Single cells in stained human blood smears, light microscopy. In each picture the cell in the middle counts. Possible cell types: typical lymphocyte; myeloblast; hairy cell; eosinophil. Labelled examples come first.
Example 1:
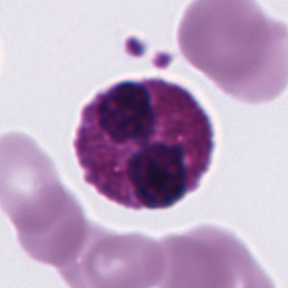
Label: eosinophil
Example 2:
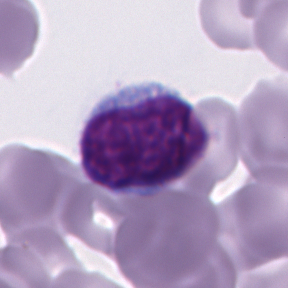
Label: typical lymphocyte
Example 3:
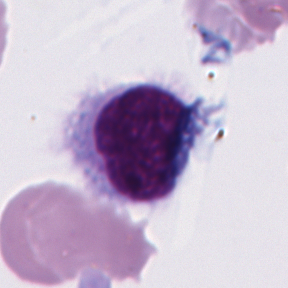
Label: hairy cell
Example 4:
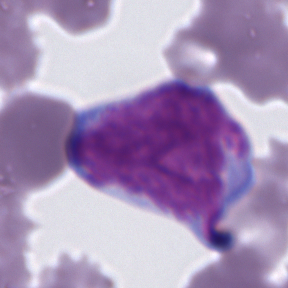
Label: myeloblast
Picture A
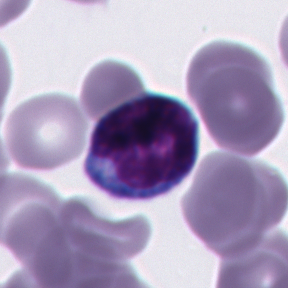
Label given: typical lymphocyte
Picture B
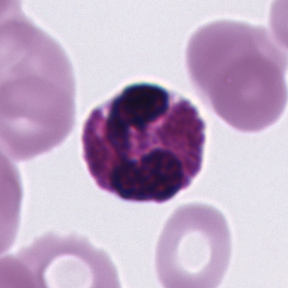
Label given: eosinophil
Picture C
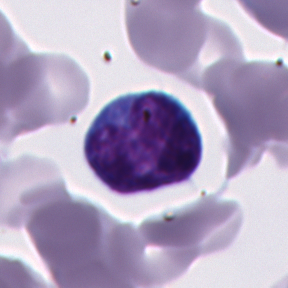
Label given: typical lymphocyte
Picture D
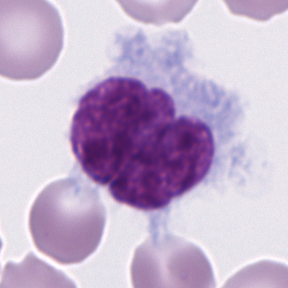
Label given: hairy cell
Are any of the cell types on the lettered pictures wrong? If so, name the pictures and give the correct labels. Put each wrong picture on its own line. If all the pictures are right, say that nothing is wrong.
No label is wrong.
